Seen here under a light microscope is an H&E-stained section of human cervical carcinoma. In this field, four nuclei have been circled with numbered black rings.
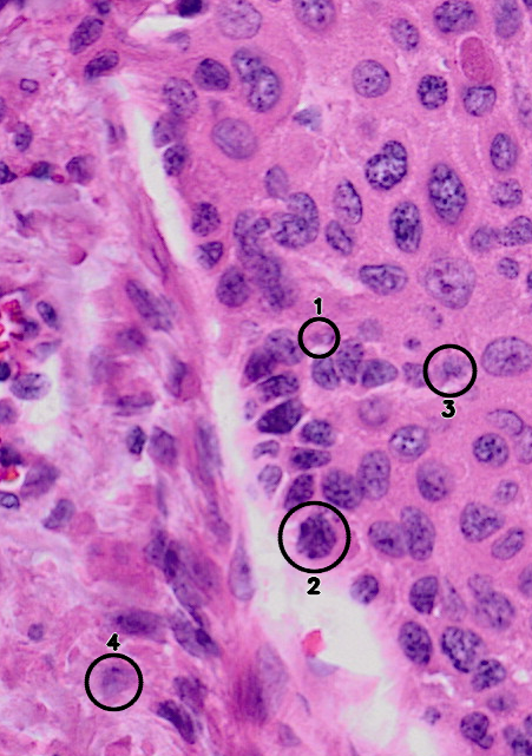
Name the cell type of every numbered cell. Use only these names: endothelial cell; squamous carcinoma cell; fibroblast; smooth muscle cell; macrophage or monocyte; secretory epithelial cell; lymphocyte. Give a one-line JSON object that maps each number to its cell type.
{"1": "squamous carcinoma cell", "2": "squamous carcinoma cell", "3": "squamous carcinoma cell", "4": "fibroblast"}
